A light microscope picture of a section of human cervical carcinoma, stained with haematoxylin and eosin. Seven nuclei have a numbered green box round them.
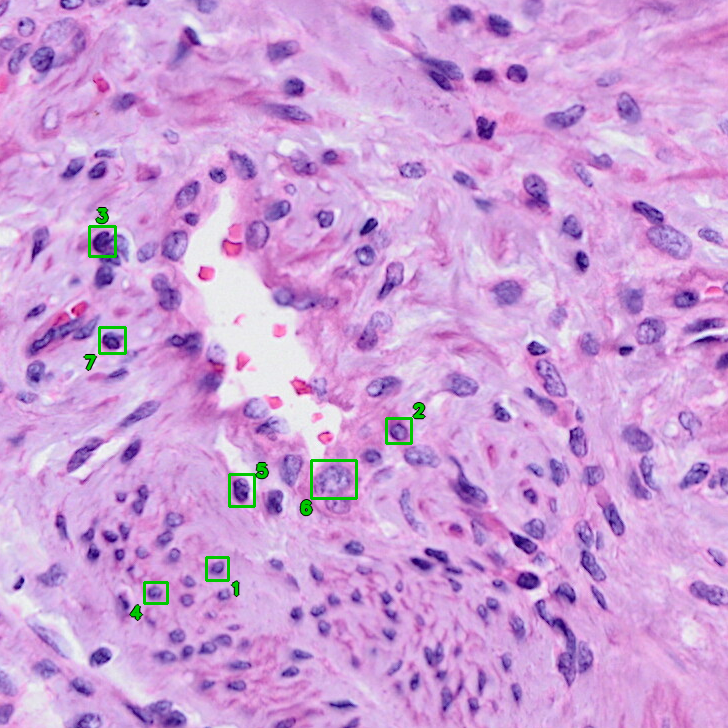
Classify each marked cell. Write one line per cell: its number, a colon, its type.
1: smooth muscle cell
2: smooth muscle cell
3: lymphocyte
4: smooth muscle cell
5: lymphocyte
6: endothelial cell
7: lymphocyte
